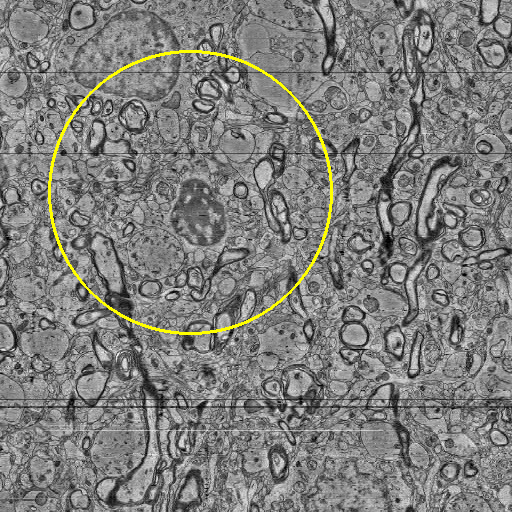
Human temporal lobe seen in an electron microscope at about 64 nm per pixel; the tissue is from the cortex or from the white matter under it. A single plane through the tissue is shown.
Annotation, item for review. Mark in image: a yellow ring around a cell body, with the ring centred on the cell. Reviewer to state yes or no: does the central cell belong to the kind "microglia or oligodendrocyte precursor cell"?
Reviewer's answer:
yes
